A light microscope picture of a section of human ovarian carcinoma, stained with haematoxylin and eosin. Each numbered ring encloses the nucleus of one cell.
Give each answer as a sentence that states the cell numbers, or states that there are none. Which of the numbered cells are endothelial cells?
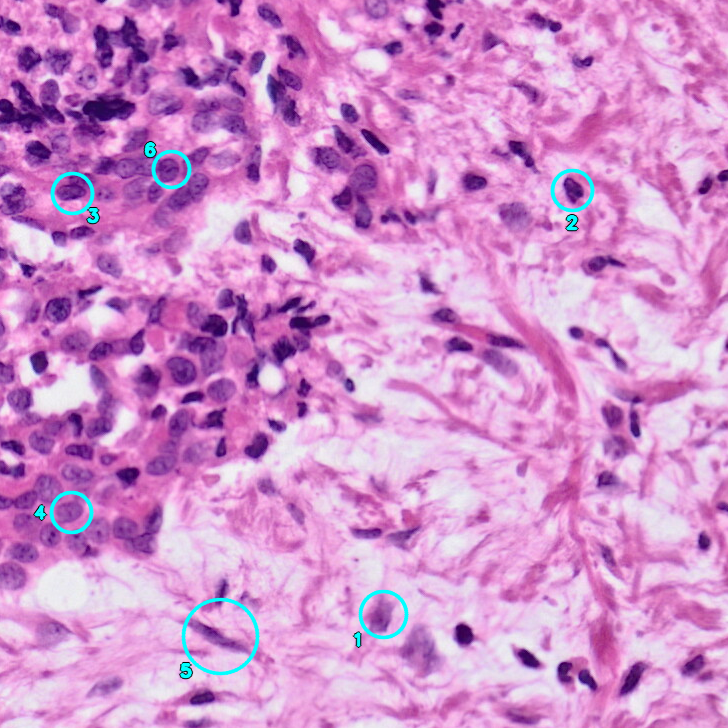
None of the cells bearing numbers are endothelial cells.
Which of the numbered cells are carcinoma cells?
Regarding the numbered cells 3, 4 and 6, these are carcinoma cells.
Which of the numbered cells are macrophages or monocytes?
Of those with numbers, only cell 2 is a macrophage or monocyte.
